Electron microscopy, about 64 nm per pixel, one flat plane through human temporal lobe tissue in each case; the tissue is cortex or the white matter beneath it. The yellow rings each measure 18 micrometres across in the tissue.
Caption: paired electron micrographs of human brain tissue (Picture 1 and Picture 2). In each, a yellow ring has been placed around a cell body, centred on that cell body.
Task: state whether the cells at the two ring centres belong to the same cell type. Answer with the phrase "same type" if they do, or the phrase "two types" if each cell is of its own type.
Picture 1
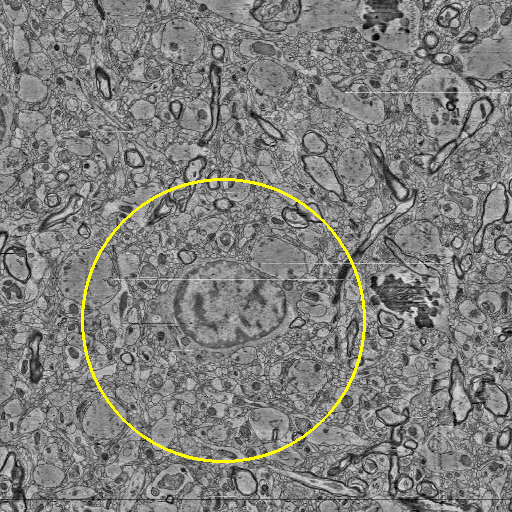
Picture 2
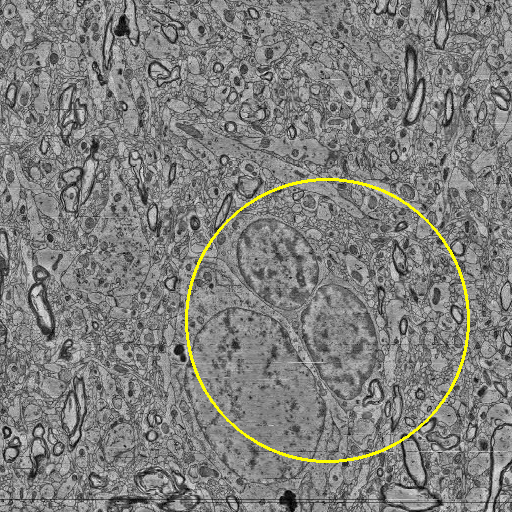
same type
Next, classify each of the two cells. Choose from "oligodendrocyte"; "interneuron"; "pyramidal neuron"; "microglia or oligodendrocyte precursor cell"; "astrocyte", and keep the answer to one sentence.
In each of the two pictures, the ringed cell is an oligodendrocyte.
